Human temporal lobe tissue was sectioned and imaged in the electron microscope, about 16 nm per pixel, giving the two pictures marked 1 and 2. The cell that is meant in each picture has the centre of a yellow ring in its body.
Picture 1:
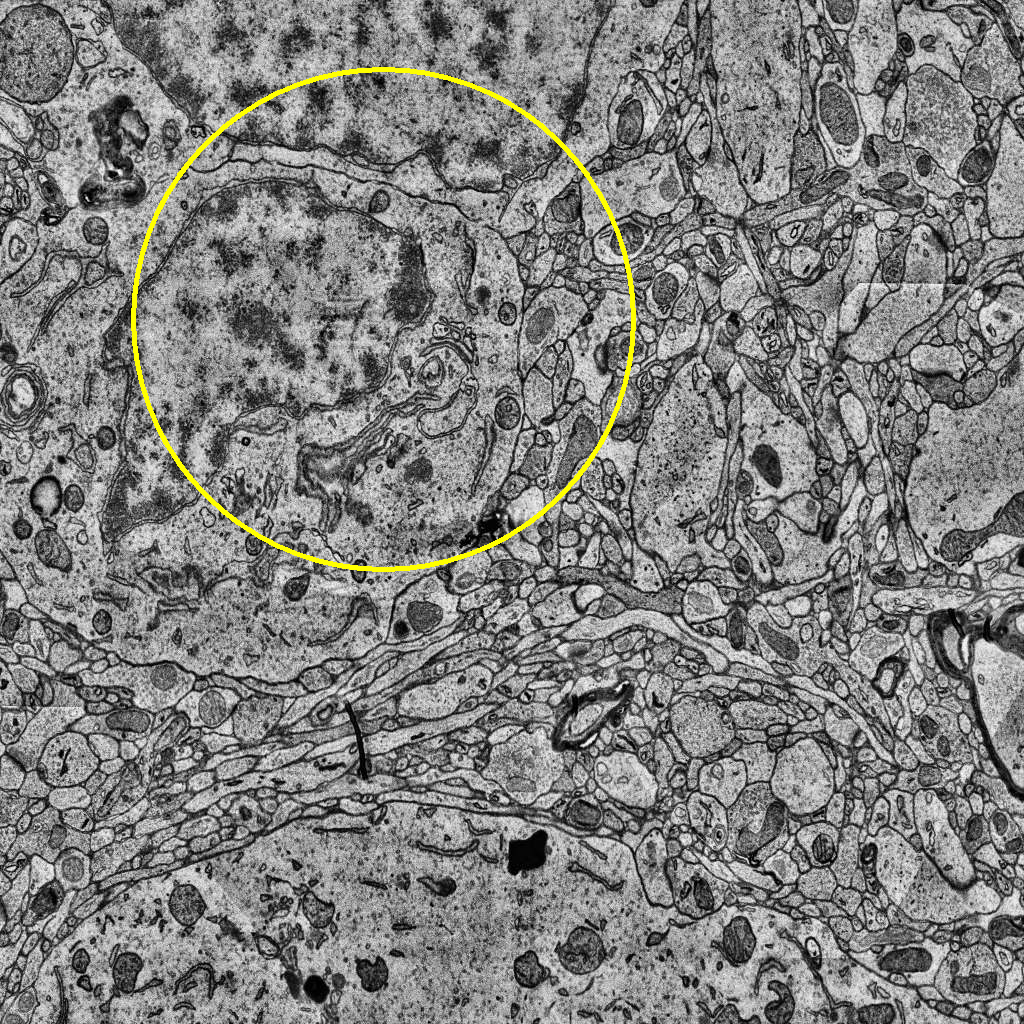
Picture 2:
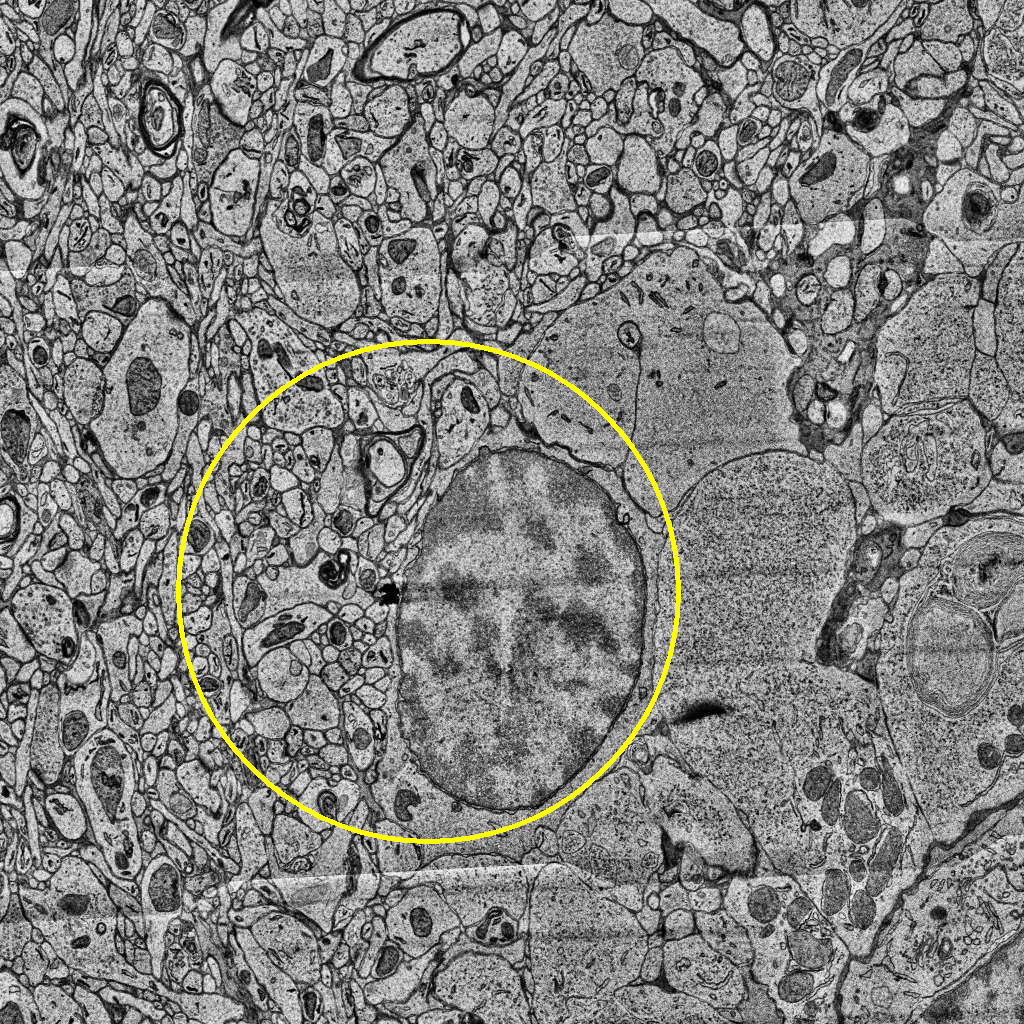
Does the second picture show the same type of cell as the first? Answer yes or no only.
no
